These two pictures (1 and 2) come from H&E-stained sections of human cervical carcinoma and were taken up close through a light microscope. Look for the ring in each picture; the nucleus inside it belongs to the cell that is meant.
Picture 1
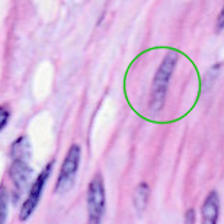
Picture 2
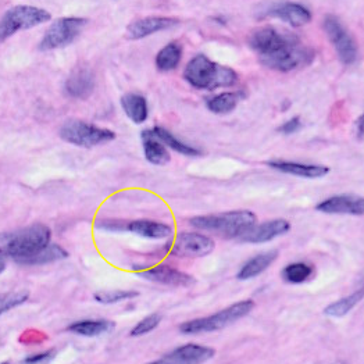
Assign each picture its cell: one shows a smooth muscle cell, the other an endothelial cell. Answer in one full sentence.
Picture 2 shows an endothelial cell, while picture 1 shows a smooth muscle cell.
